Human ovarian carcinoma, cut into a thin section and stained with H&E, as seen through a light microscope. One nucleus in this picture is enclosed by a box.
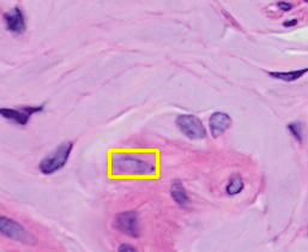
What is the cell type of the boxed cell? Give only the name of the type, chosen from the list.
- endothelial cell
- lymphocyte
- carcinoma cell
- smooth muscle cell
smooth muscle cell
